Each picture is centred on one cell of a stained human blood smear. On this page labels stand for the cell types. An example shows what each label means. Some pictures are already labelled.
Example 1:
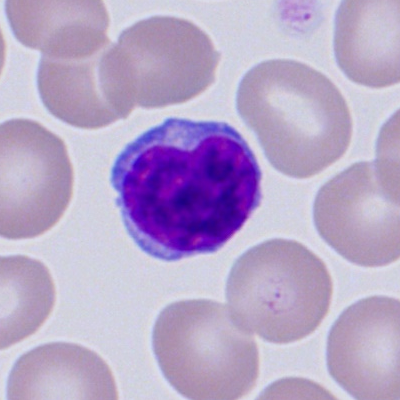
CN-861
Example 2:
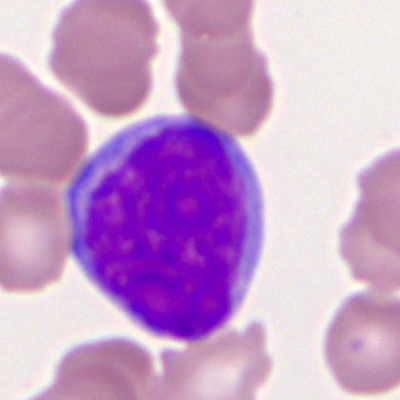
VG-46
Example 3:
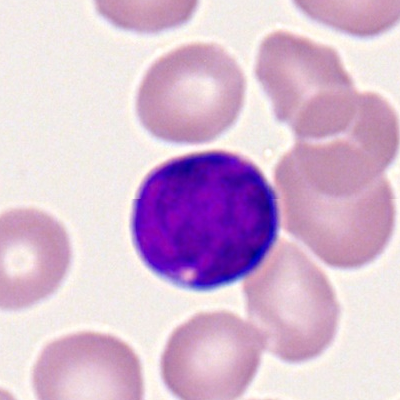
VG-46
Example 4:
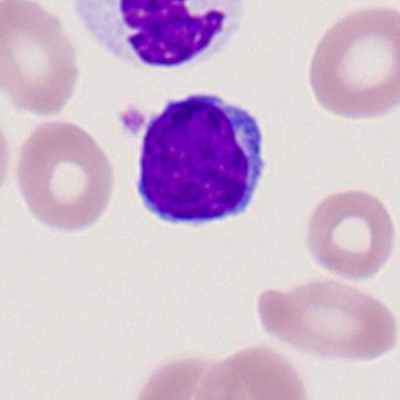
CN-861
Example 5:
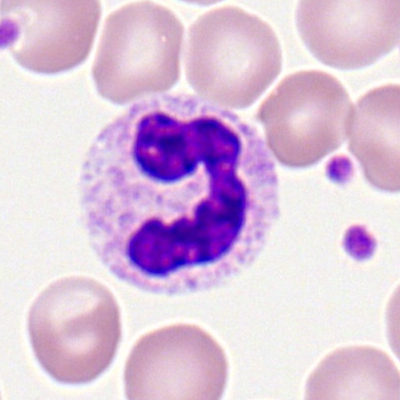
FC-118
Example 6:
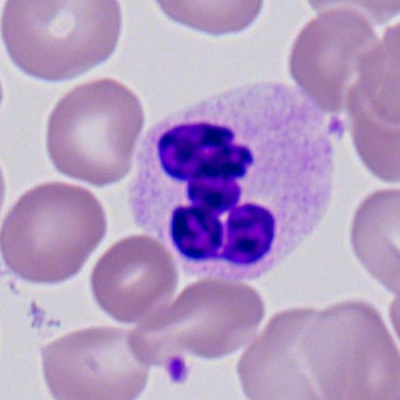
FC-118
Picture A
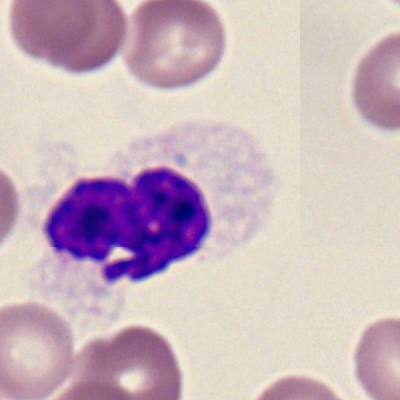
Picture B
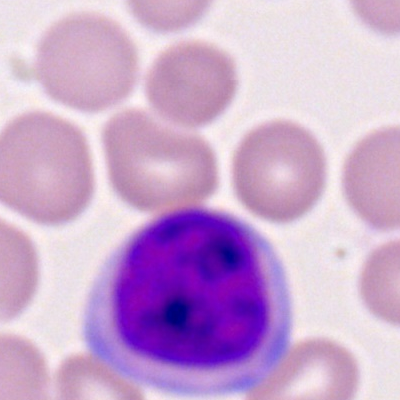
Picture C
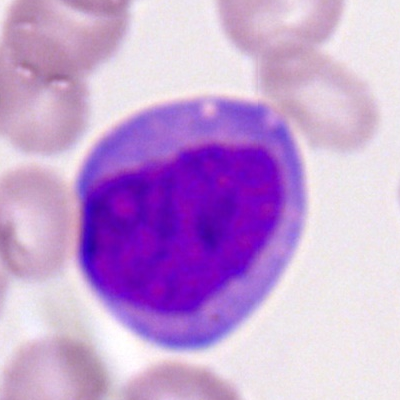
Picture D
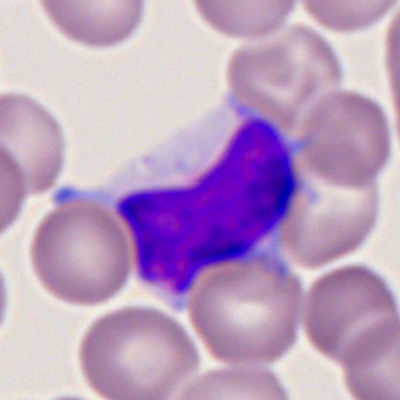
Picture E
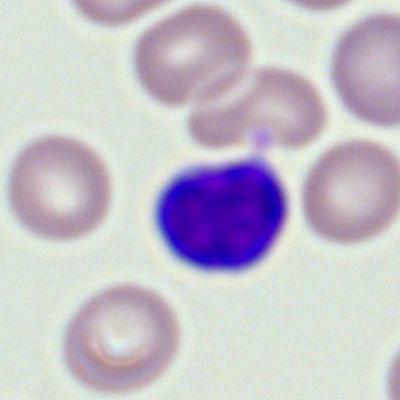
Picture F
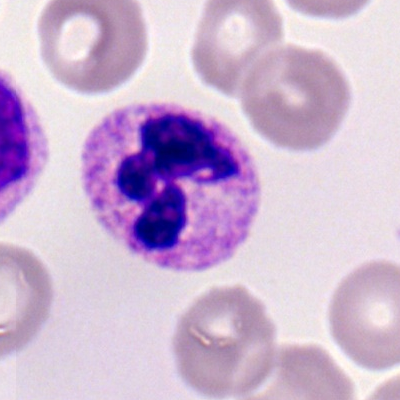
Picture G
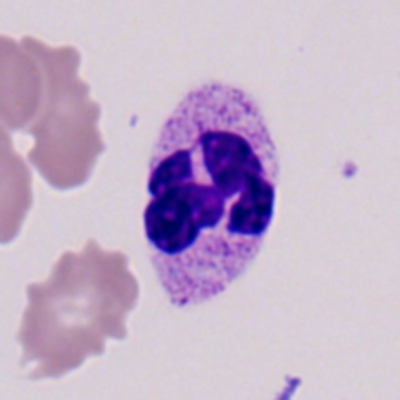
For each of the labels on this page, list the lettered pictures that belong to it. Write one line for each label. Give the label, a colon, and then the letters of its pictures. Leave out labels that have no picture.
CN-861: B, D, E
VG-46: C
FC-118: A, F, G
